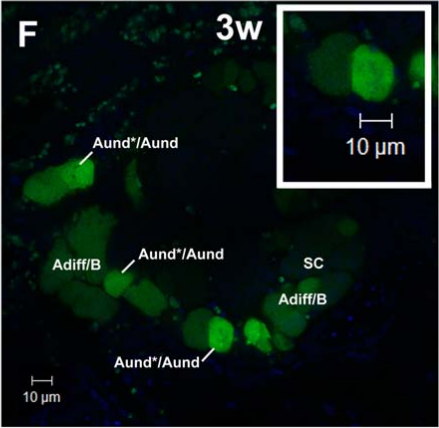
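An enlarged view in the upper right corner shows large rounded green cells with finely granular fluorescence. Blue nuclei of surrounding tissue are sparse, and scattered fine green dots lie at the top of the field.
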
